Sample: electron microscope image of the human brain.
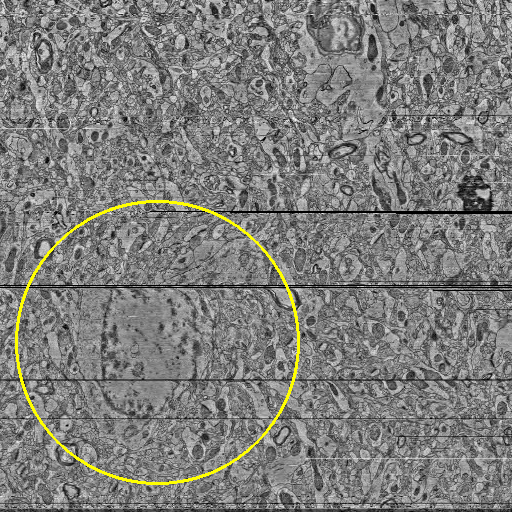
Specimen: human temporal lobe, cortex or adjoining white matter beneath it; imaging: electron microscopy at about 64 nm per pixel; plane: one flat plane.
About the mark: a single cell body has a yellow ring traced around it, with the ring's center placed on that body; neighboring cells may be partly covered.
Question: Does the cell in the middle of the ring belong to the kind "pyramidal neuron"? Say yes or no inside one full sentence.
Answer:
No, the cell at the ring's center in this image belongs to a different kind.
